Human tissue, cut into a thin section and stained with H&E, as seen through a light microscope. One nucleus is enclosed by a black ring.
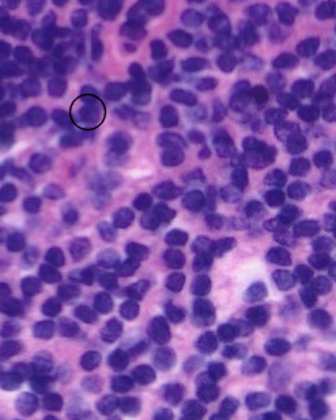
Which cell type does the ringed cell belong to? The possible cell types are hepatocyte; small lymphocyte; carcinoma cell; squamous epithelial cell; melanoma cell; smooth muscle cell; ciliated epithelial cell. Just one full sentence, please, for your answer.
Microscopically, the ringed cell is categorized as a small lymphocyte.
